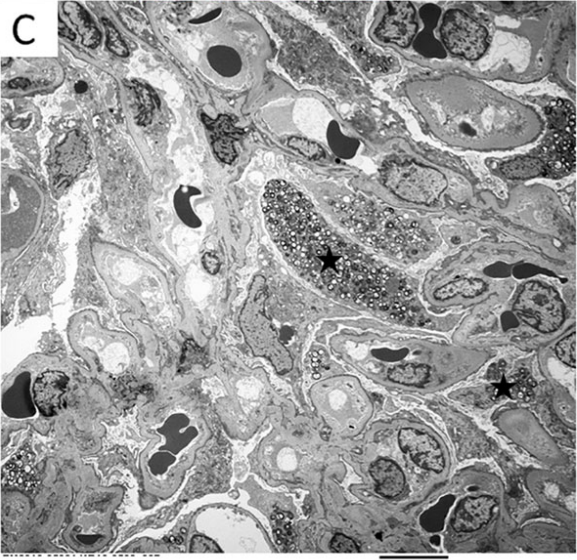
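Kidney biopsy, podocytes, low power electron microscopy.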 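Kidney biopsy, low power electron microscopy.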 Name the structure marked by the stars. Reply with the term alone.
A: Lipid inclusions (myeloid bodies).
